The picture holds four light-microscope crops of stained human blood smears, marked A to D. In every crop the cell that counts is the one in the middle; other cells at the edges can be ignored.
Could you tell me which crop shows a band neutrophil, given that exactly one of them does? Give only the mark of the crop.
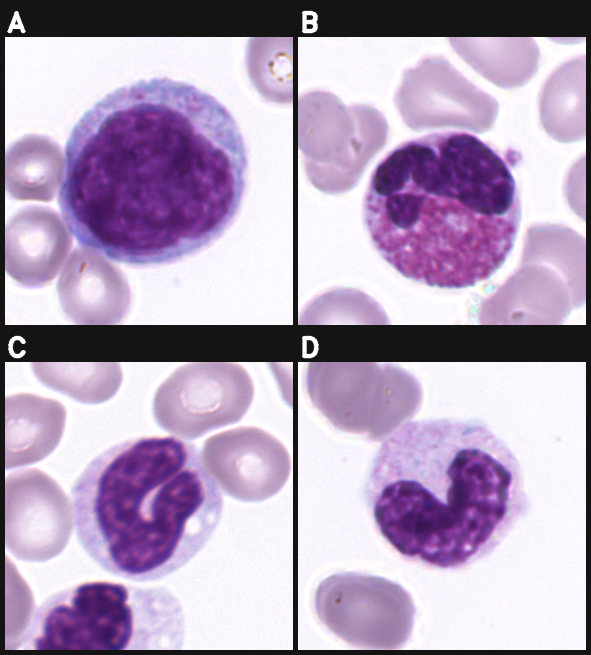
D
